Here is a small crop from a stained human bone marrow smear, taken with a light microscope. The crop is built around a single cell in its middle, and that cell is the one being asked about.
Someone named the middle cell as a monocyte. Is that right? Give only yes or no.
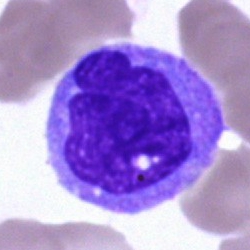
yes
